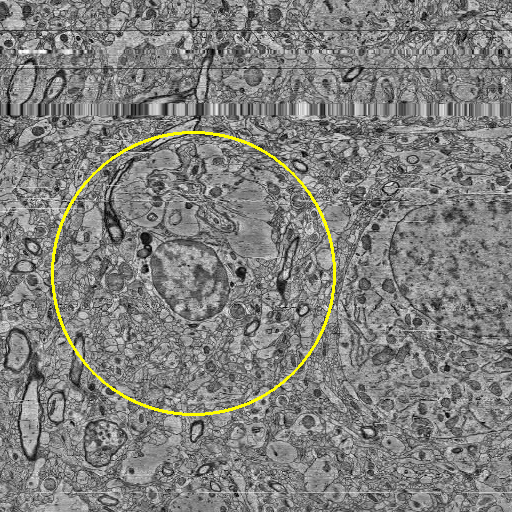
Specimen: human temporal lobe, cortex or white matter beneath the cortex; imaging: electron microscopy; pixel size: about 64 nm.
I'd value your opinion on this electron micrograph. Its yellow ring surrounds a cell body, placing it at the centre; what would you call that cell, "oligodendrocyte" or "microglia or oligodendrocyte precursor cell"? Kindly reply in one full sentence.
It is a microglial cell or oligodendrocyte precursor cell that sits centred within the yellow ring in this micrograph.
